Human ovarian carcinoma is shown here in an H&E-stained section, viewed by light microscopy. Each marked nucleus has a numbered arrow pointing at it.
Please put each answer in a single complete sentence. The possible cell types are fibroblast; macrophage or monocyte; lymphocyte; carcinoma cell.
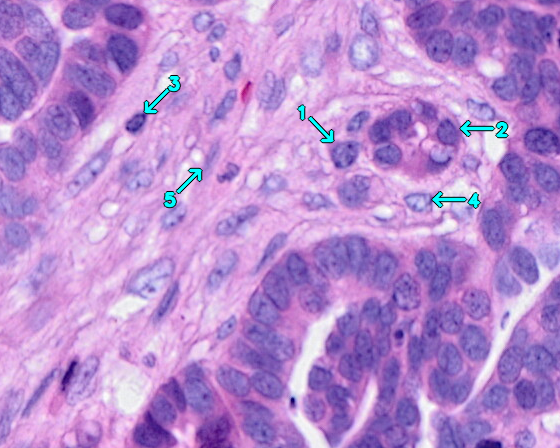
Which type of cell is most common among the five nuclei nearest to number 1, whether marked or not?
Around number 1, most of the five nearest nuclei are those of carcinoma cells.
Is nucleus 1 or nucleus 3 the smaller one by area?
It is nucleus 3; nucleus 1 has about 1.5 times its area.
